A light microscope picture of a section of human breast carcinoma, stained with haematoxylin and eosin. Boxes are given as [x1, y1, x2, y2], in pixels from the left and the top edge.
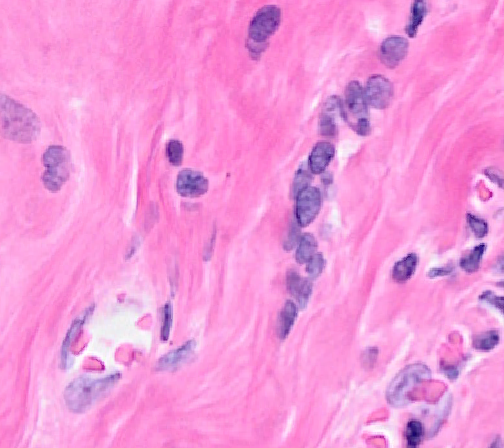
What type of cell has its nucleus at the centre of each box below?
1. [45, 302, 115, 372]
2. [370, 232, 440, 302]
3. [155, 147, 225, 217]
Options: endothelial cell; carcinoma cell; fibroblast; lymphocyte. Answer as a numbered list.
1. endothelial cell
2. lymphocyte
3. lymphocyte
